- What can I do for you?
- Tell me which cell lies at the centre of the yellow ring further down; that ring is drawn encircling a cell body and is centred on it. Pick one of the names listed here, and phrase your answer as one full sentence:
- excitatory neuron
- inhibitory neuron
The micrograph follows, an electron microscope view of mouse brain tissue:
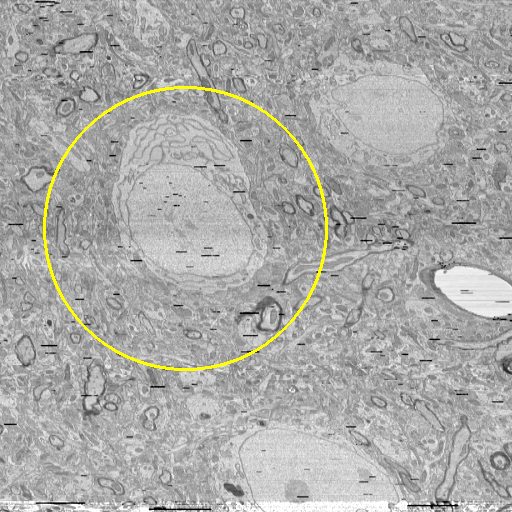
The cell whose body lies at the centre of the yellow ring is an inhibitory neuron.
